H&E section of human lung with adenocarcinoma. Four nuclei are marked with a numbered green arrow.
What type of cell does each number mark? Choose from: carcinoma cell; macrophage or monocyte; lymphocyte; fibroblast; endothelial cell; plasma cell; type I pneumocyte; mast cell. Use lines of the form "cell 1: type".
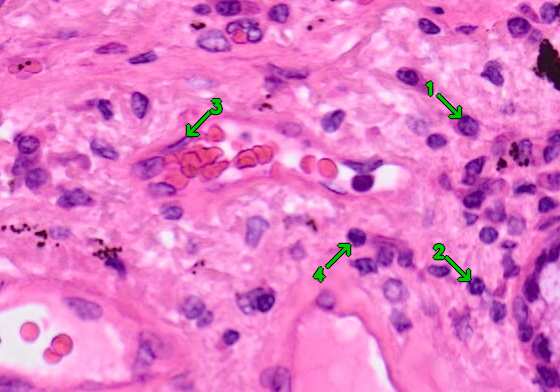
cell 1: plasma cell
cell 2: lymphocyte
cell 3: endothelial cell
cell 4: lymphocyte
